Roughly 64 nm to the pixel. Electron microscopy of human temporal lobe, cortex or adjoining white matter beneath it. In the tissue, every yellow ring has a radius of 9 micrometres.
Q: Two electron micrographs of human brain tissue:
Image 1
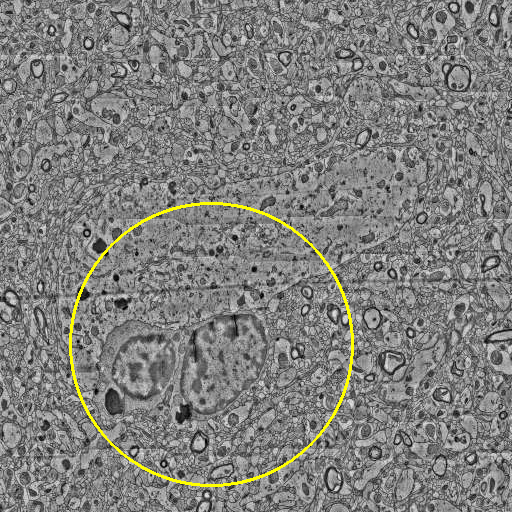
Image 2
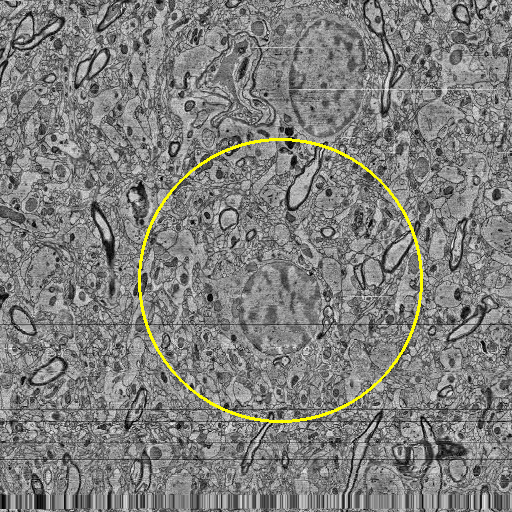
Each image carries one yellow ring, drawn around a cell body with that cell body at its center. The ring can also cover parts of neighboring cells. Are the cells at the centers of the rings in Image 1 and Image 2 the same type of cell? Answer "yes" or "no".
yes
